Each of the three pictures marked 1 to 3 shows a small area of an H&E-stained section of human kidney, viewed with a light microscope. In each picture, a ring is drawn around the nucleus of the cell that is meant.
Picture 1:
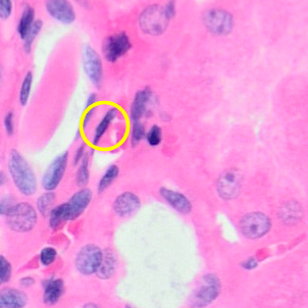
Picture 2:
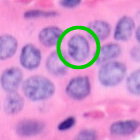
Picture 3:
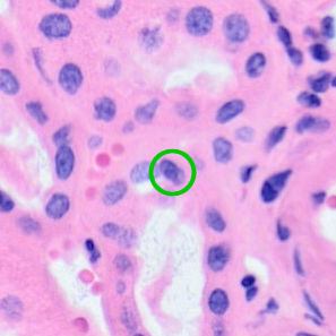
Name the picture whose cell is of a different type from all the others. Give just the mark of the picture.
1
